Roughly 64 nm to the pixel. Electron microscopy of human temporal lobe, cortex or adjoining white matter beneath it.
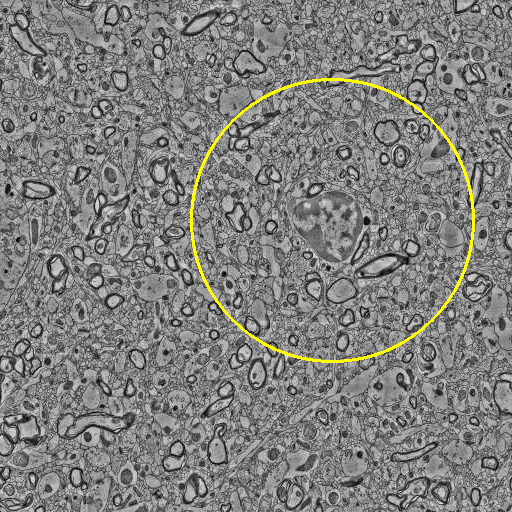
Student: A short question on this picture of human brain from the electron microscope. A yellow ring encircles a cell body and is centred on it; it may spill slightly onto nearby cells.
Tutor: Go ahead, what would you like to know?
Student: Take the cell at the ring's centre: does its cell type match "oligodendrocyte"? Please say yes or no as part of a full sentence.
No, the cell found at the ring's centre in the picture has another cell type.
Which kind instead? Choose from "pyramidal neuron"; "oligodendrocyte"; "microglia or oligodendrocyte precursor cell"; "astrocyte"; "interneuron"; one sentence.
The cell shown in the ring is a microglial cell or oligodendrocyte precursor cell.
